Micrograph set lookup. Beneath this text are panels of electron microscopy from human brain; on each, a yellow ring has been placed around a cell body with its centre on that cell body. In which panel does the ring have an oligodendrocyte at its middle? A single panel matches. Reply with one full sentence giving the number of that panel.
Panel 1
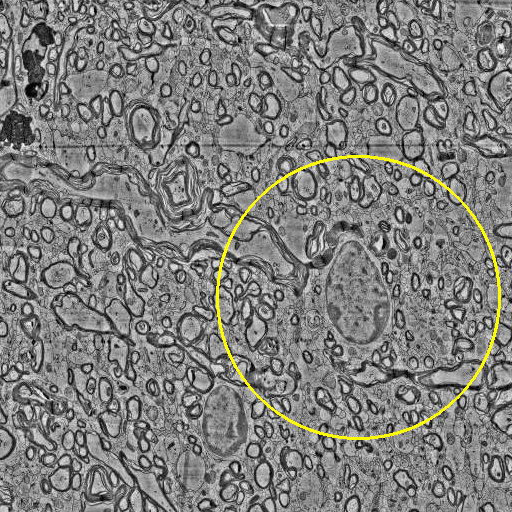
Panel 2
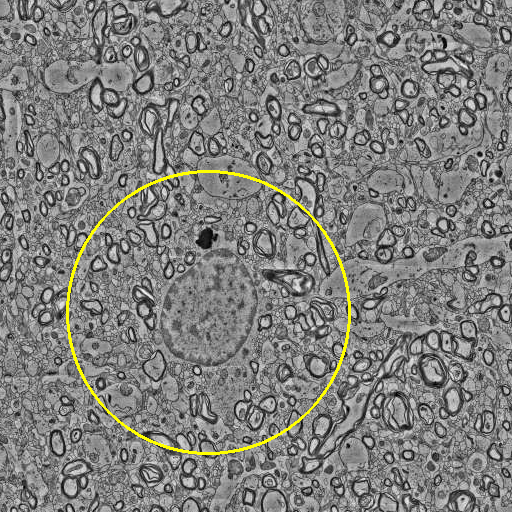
Panel 2 is the one whose ring has the sought cell at its centre.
